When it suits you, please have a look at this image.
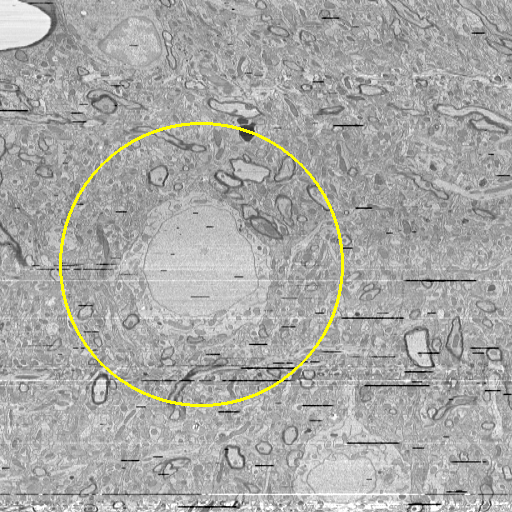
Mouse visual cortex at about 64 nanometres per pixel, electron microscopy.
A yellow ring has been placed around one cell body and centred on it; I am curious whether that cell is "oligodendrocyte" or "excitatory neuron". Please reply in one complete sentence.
The ringed cell, an excitatory neuron, has its body at the centre of the yellow ring.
